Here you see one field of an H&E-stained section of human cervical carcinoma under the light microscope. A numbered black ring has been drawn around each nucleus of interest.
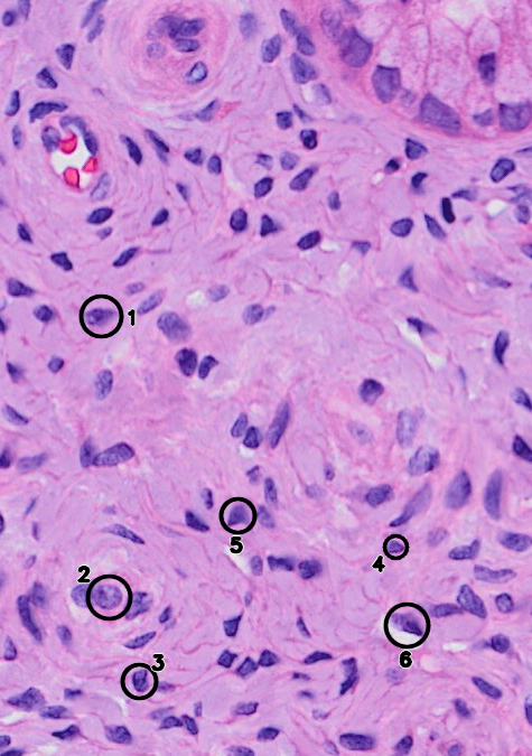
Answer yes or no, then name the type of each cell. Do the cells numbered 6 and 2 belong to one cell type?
Yes, both are endothelial cells.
